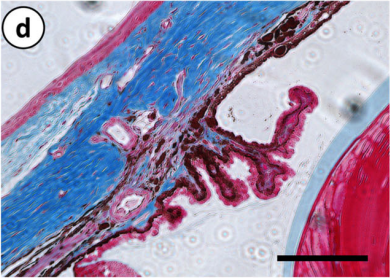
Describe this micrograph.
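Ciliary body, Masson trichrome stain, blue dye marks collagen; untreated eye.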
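The processes form finger-like folds whose surface epithelium stains red to magenta, with a dark brown-black pigmented layer along the folds and at their base. The dense blue band to the left consists of parallel fibres with scattered elongated nuclei. The clear background is dotted with small round artefacts.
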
